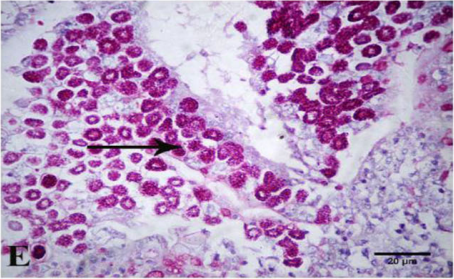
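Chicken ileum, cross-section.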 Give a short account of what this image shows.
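At high magnification, numerous rounded cells packed with deep magenta material fill much of the field, crowded in clusters. Many of them look like rings or cups, with a paler centre surrounded by the intensely stained content. Between the clusters lies paler, loose tissue with scattered small bluish nuclei. The magenta-filled rounded cells are goblet cells of the intestinal lining, here seen in great numbers.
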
